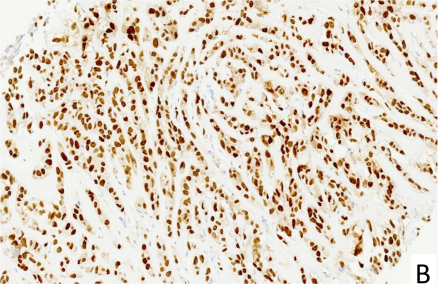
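This field shows tumor cells in a loose, pale stroma, with nearly every cell carrying a strongly brown-stained nucleus. The cytoplasm around them is scant and barely stained, so the cells stand apart mainly by their dark brown nuclei. The background between the cords is pale and loosely fibrous.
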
